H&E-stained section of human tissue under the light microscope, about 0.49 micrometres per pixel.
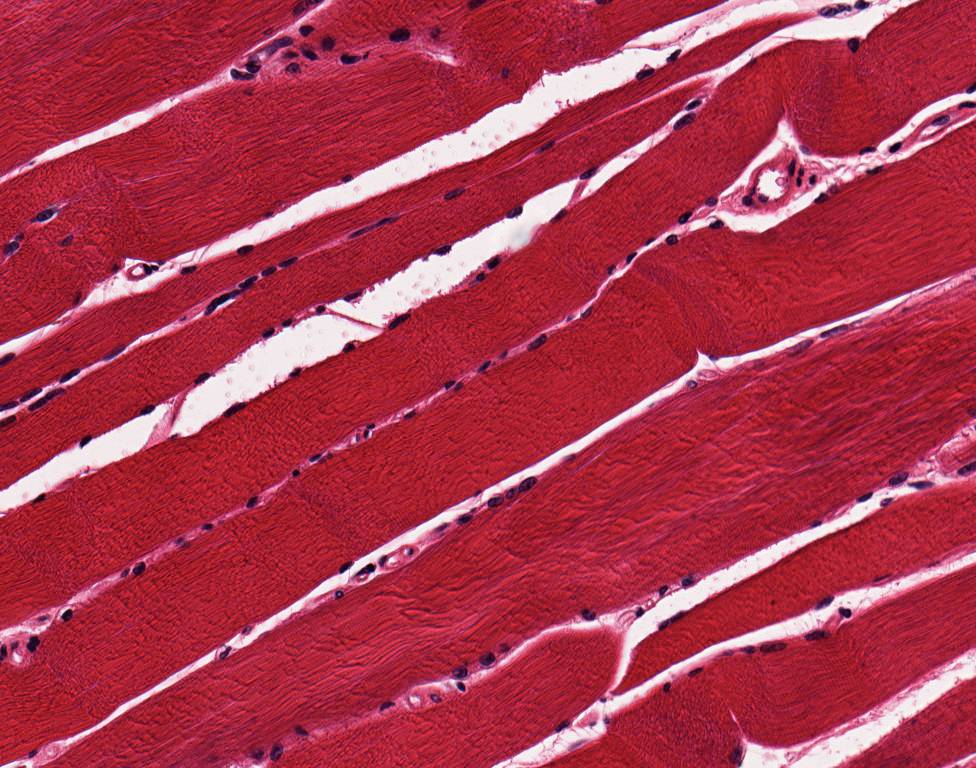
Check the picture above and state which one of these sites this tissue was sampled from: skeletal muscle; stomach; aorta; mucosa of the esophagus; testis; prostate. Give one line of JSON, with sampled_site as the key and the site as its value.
{"sampled_site": "skeletal muscle"}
